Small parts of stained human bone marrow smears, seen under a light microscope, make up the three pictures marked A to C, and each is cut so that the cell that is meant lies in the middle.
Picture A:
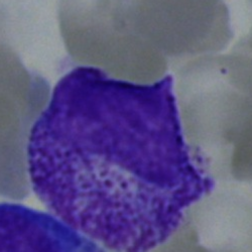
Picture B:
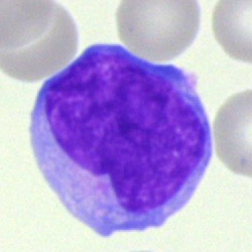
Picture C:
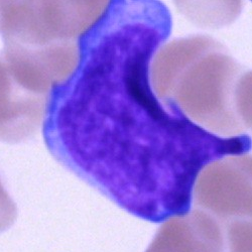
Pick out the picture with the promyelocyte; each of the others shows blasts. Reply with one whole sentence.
The promyelocyte is the one in picture A.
